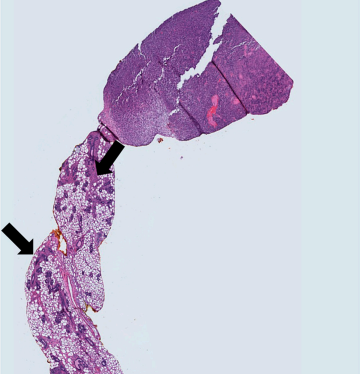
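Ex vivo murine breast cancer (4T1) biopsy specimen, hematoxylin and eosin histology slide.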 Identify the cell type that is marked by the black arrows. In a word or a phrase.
tumor cells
